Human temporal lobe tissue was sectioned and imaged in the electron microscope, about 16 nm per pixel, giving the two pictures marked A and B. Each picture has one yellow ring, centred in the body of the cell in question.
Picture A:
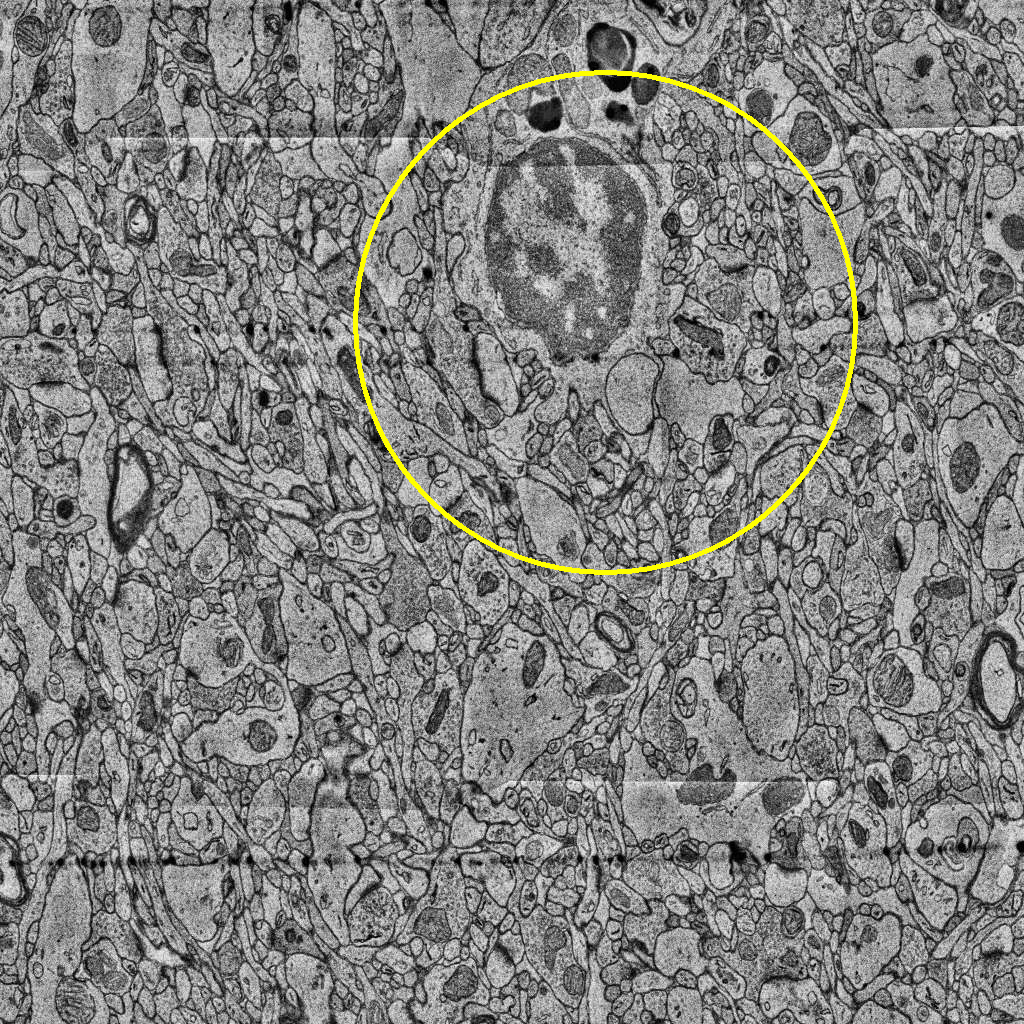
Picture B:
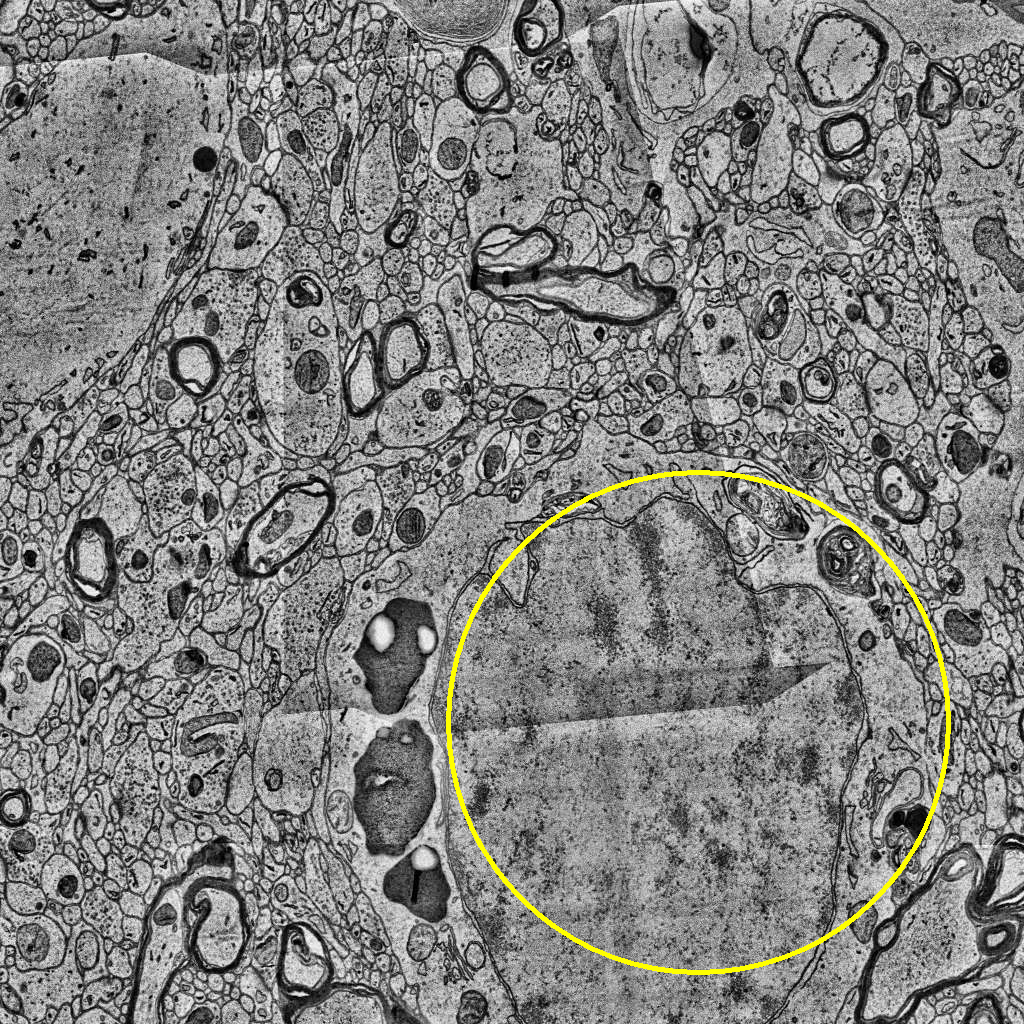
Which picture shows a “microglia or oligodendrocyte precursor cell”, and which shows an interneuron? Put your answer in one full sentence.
The cell in picture A is a “microglia or oligodendrocyte precursor cell”, and the one in picture B is an interneuron.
